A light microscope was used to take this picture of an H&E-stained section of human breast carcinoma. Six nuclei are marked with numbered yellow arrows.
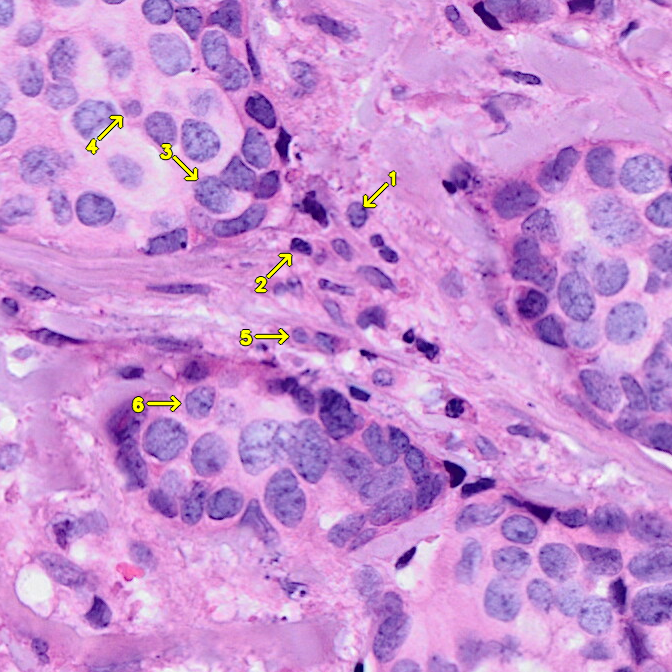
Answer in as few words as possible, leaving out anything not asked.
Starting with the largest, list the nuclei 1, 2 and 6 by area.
6, 1, 2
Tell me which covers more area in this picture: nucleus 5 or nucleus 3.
3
